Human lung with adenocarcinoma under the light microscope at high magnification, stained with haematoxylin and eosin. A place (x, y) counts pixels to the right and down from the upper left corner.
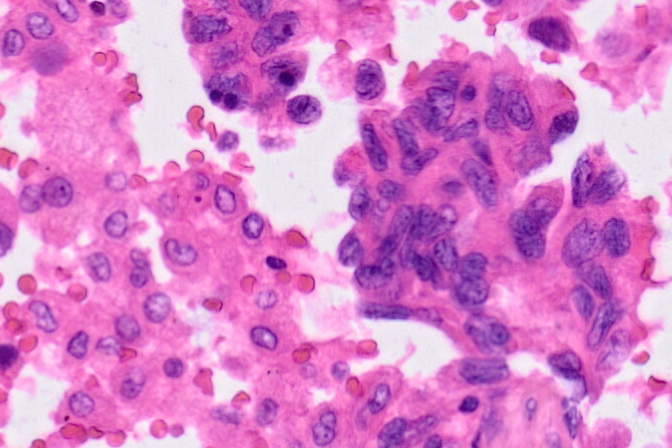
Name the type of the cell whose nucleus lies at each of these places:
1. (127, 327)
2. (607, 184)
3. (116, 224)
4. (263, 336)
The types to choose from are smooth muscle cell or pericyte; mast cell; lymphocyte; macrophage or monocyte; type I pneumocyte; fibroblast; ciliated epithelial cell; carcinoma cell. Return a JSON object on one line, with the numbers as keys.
{"1": "macrophage or monocyte", "2": "carcinoma cell", "3": "macrophage or monocyte", "4": "macrophage or monocyte"}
